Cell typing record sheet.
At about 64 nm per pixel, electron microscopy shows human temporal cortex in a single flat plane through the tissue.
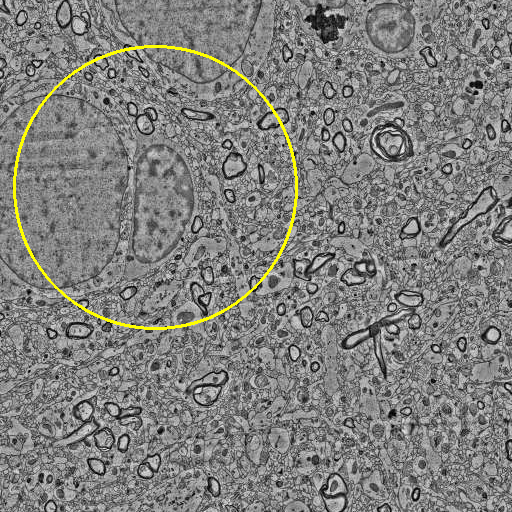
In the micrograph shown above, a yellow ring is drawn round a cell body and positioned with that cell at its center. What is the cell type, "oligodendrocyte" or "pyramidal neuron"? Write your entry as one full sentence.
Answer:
The cell body at the center of the ring belongs to an oligodendrocyte.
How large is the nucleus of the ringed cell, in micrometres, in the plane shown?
About 8 by 4 micrometres; in this plane the nucleus is clearly longer than it is wide.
